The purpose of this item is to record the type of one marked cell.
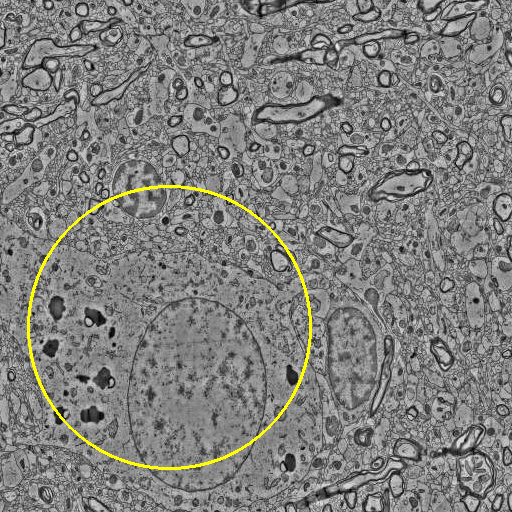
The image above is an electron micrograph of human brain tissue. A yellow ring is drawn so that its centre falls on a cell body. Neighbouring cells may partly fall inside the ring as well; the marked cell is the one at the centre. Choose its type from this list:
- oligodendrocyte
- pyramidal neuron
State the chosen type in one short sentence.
What the ring marks here is a pyramidal neuron.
